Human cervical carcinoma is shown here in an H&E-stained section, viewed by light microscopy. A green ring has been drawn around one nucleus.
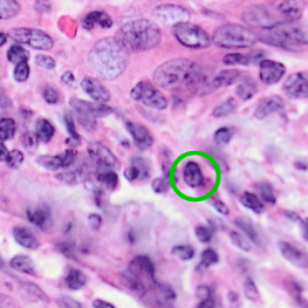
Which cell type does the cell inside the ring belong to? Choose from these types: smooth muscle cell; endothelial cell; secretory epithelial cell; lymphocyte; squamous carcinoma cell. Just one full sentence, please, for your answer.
The cell type represented by the cell inside the ring is that of a lymphocyte.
